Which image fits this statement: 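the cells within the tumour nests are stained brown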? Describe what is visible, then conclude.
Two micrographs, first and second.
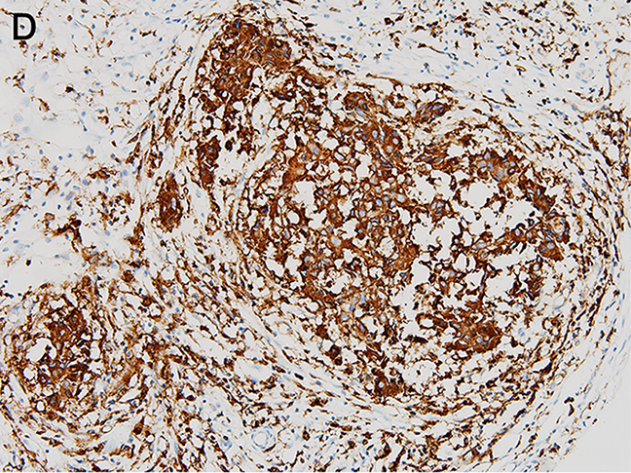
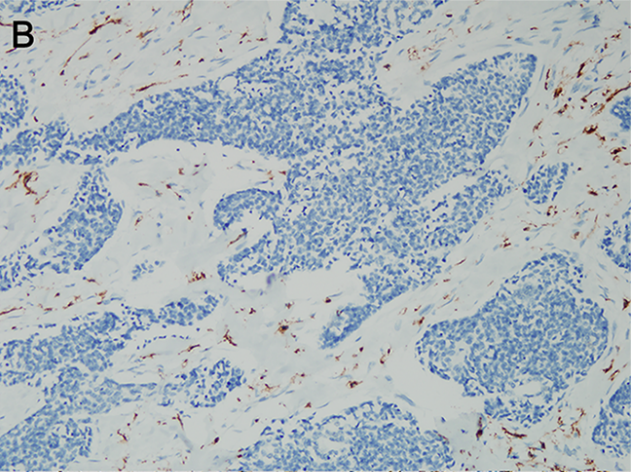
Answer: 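The first image. First image: the cytoplasm of cells across the nests is strongly brown. Second image: the tumour nests are blue only, with brown limited to scattered stromal cells between them.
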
